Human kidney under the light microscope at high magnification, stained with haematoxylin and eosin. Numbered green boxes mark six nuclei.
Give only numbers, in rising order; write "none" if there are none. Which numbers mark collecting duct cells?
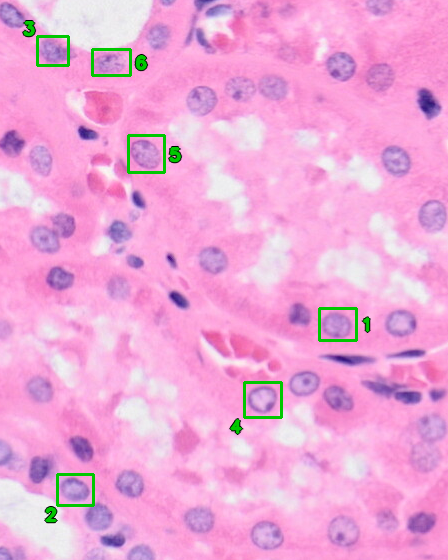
2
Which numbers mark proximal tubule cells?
1, 4, 5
